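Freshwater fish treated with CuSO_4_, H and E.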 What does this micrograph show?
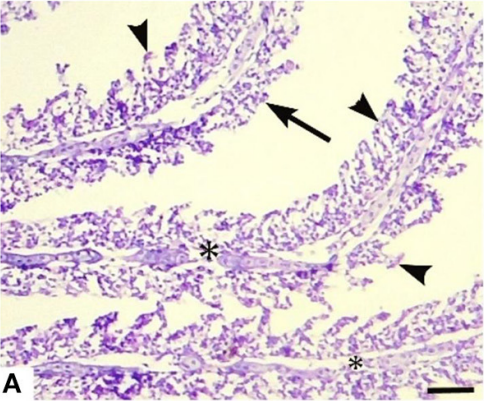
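Gill filaments run as long parallel bars with a pale central core, each bordered on both sides by rows of thin lamellae covered by purple-stained cells. The lamellae look ragged and irregular, with cells loosened and scattered between them instead of forming neat, even plates.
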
